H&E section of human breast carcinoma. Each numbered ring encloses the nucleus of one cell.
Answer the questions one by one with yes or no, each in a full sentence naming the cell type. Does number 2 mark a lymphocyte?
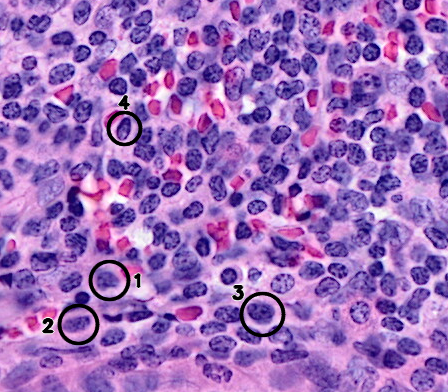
No, cell 2 is a mast cell, not a lymphocyte.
